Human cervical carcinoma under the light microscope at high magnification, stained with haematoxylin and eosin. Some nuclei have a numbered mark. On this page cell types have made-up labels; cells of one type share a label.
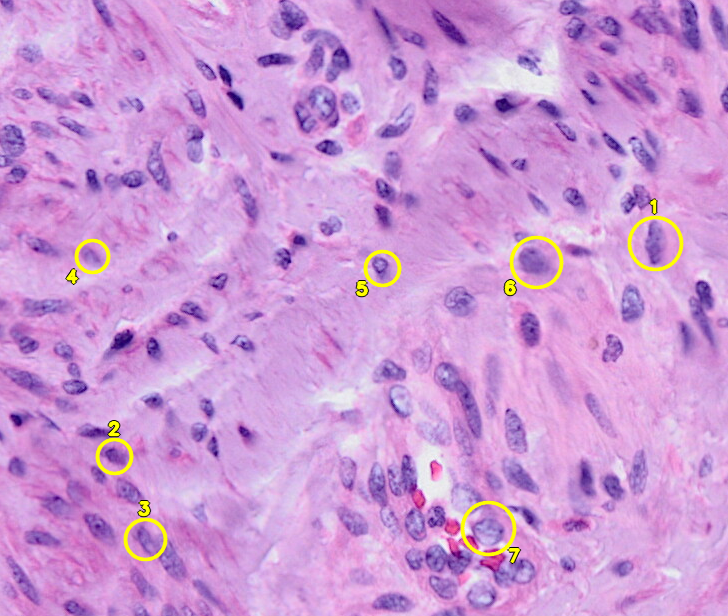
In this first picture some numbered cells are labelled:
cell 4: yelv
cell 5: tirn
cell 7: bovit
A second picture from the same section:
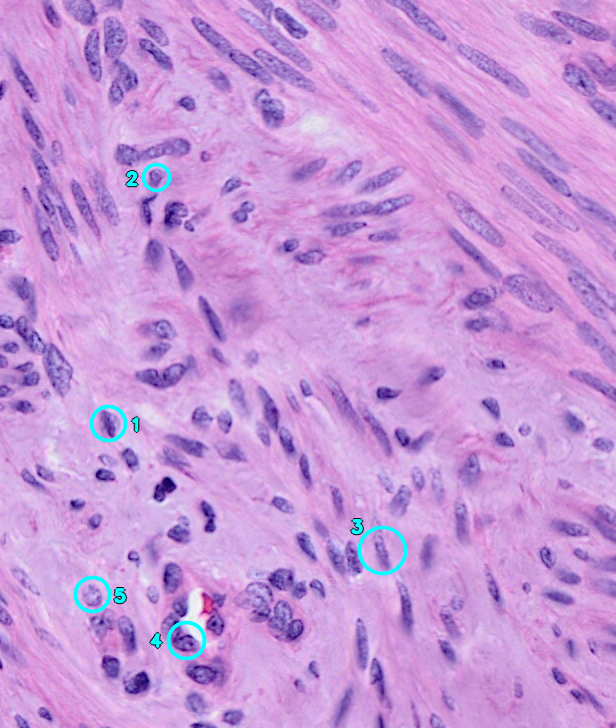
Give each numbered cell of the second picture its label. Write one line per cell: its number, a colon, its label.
1: tirn
2: yelv
3: tirn
4: bovit
5: yelv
